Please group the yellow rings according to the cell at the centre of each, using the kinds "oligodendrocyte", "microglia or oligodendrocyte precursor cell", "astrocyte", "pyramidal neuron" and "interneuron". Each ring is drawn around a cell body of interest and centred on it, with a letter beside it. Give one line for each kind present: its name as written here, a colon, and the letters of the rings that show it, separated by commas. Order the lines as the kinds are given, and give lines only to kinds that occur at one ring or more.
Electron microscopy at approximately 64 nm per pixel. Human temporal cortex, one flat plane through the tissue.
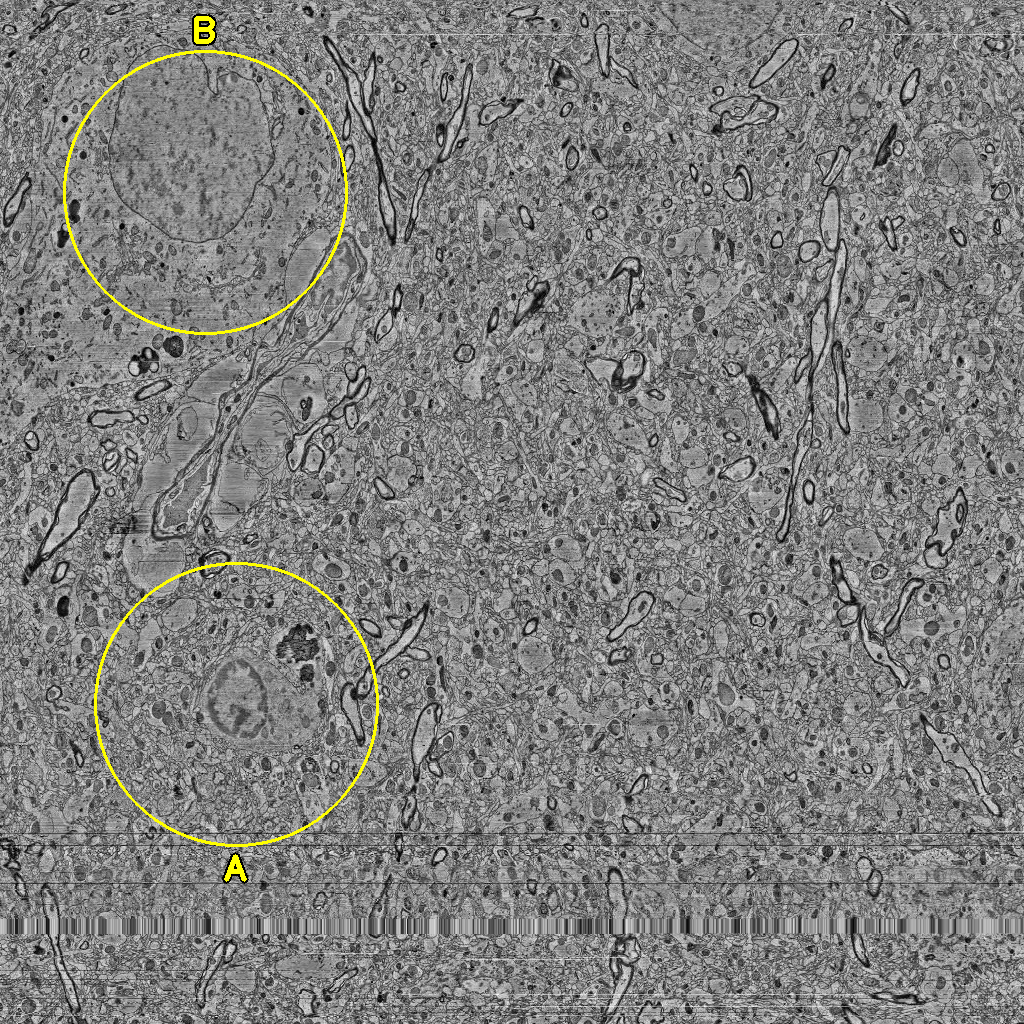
microglia or oligodendrocyte precursor cell: A
pyramidal neuron: B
